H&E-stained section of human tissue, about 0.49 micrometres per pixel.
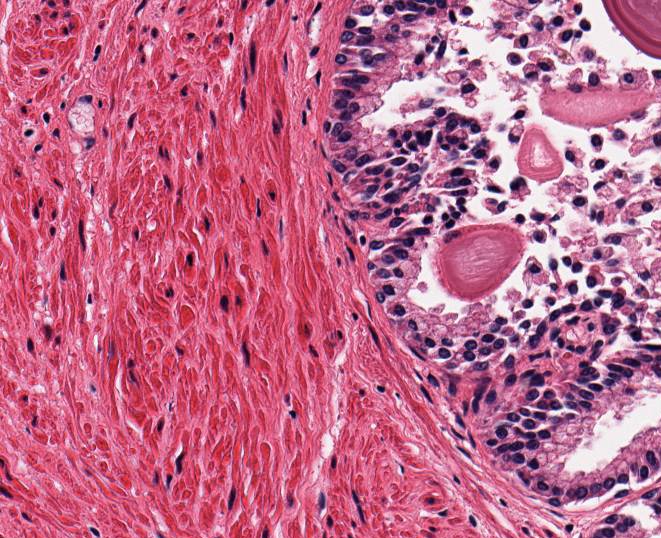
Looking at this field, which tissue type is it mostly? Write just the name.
fibromuscular stroma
